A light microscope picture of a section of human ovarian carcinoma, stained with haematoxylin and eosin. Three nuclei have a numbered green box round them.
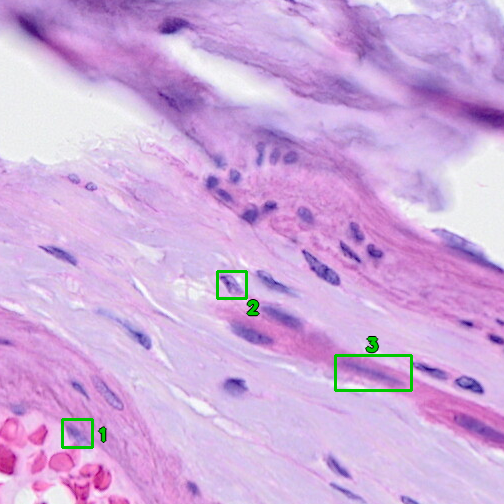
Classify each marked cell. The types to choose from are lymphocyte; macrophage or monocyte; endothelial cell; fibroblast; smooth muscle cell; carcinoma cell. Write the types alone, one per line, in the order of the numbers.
endothelial cell
fibroblast
smooth muscle cell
